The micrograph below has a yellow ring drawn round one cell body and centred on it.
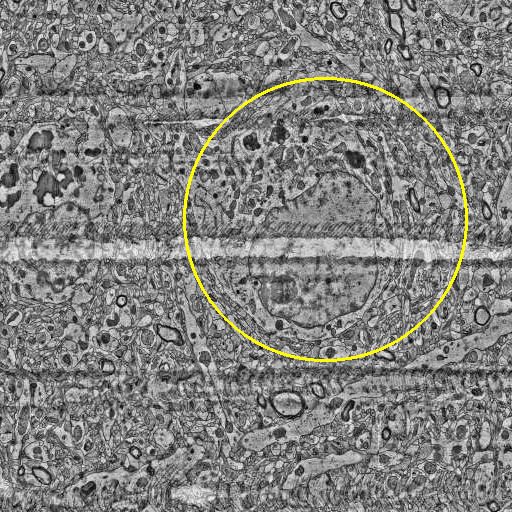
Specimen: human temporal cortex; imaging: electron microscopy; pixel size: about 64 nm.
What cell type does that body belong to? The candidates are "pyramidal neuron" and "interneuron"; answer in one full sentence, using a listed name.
This is an interneuron, the cell whose body lies at the centre of the ring.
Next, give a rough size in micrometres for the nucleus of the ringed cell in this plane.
The nucleus comes to roughly 10 by 8 micrometres in this plane.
